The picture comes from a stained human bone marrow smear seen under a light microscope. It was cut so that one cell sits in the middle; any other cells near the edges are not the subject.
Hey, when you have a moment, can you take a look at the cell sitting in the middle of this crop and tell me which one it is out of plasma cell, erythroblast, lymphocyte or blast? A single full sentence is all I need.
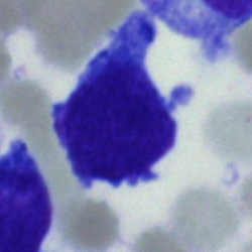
The cell in the exact centre of the crop is a blast.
